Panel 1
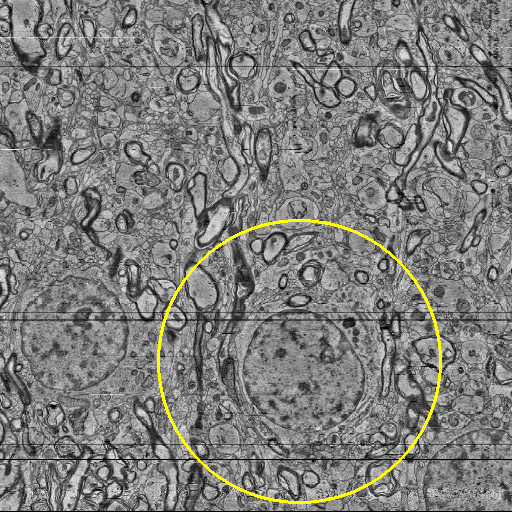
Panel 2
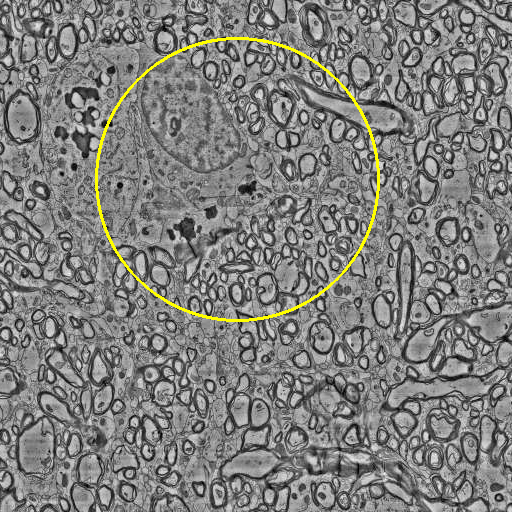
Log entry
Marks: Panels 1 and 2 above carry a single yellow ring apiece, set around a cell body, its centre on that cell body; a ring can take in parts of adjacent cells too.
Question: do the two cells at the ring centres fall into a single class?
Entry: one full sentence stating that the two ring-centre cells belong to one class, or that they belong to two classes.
The two ring-centre cells in Panels 1 and 2 belong to one class.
